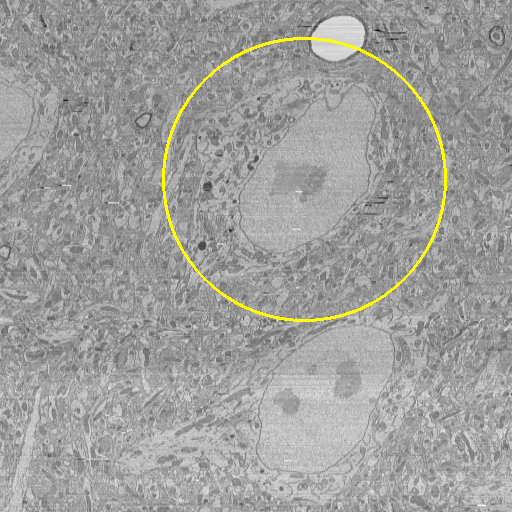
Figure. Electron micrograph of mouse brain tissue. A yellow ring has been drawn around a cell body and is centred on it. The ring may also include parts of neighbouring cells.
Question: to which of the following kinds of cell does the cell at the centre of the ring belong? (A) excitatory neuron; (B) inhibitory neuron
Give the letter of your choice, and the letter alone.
B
